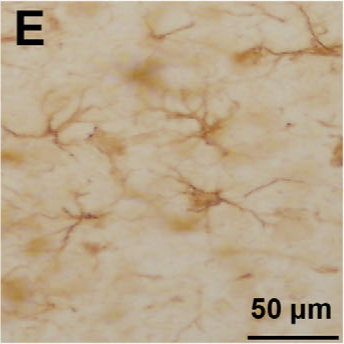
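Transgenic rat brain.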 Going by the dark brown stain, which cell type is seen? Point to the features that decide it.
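Small dark cell bodies give off many thin branching processes. The processes radiate in all directions, giving star-shaped cells.
Answer: astrocytes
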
